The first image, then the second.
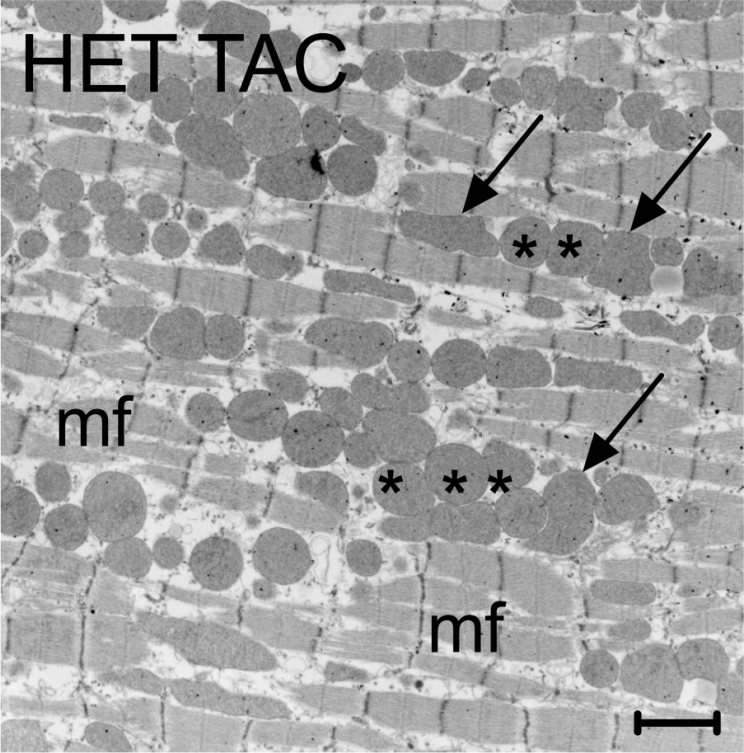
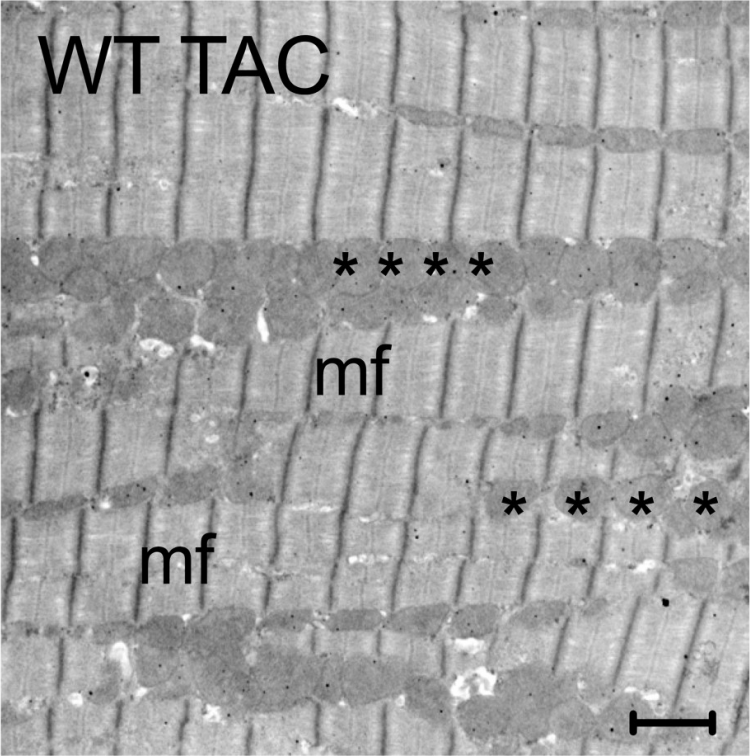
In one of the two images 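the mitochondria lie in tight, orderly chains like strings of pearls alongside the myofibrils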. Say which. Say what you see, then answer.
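The second image. First image: mitochondria are scattered, rounded and of varied size, with pale gaps between them and the myofibrils. Second image: mitochondria form continuous rows of similar oval bodies squeezed between parallel myofibrils.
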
